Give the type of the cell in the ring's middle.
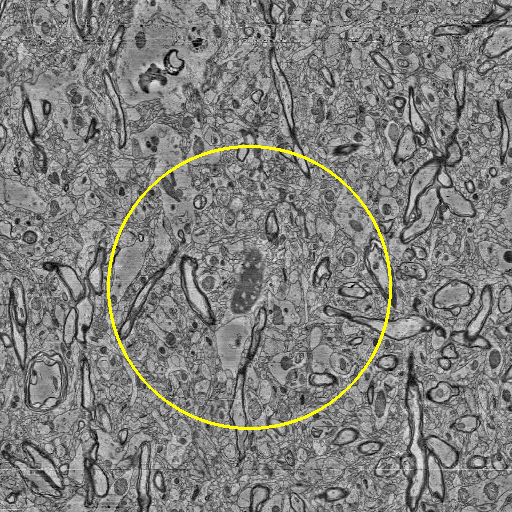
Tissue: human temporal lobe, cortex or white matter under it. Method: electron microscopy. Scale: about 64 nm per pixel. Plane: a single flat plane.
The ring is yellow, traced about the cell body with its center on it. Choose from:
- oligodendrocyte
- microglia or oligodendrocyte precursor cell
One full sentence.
Here, a microglial cell or oligodendrocyte precursor cell is the cell lying at the center of the yellow ring.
